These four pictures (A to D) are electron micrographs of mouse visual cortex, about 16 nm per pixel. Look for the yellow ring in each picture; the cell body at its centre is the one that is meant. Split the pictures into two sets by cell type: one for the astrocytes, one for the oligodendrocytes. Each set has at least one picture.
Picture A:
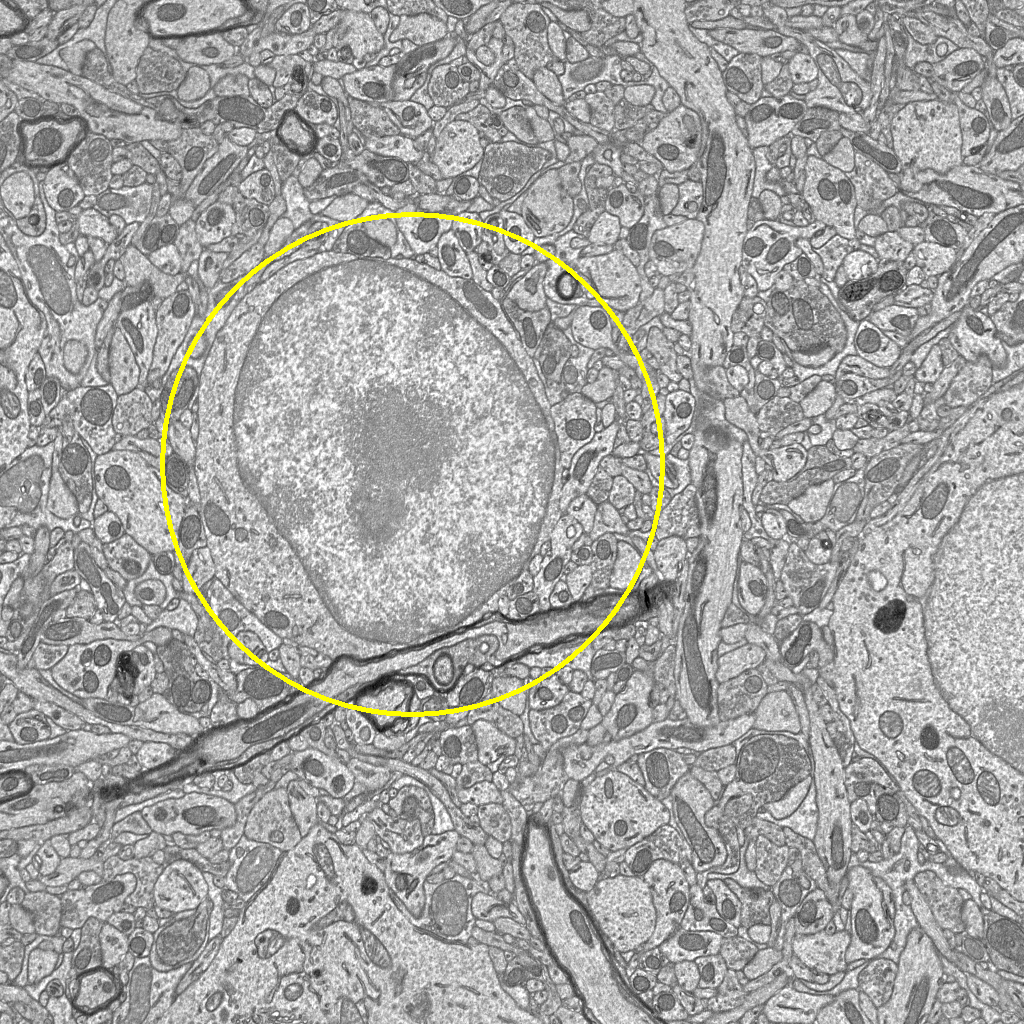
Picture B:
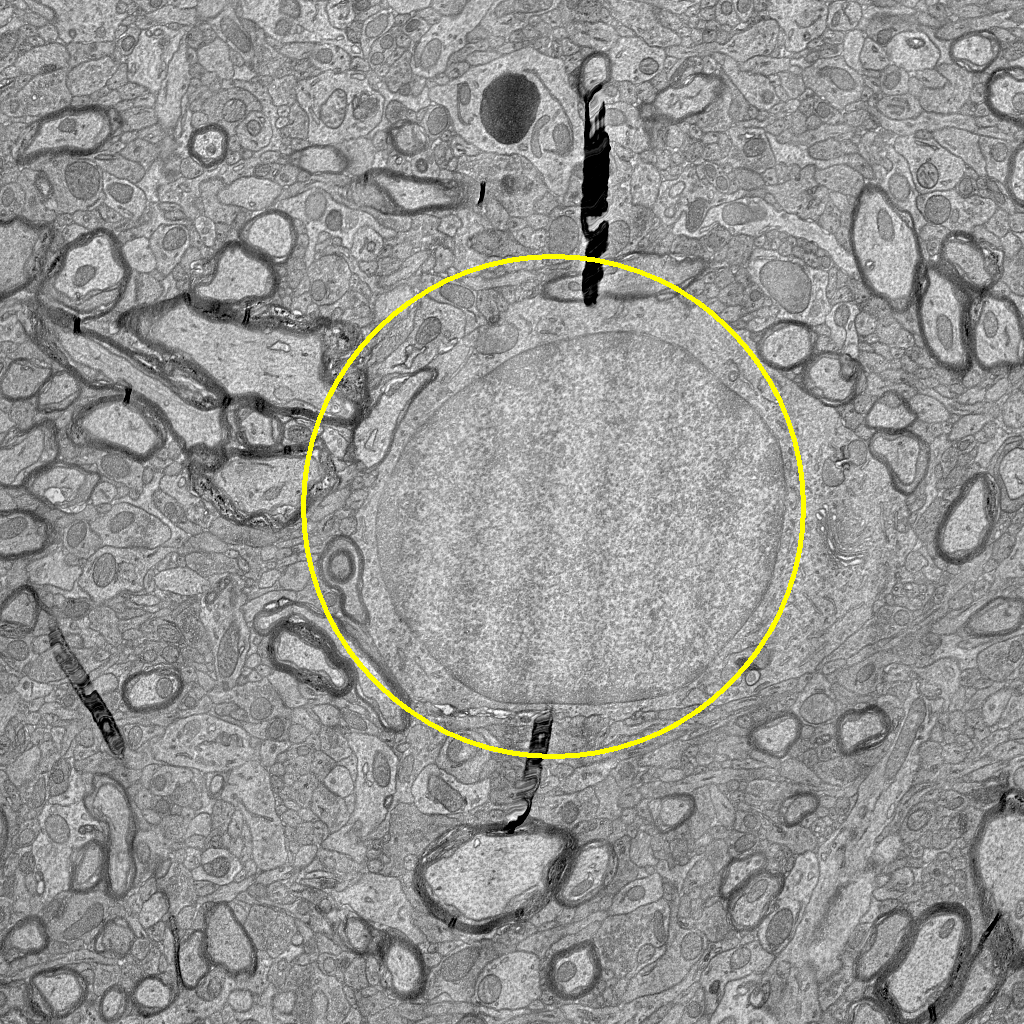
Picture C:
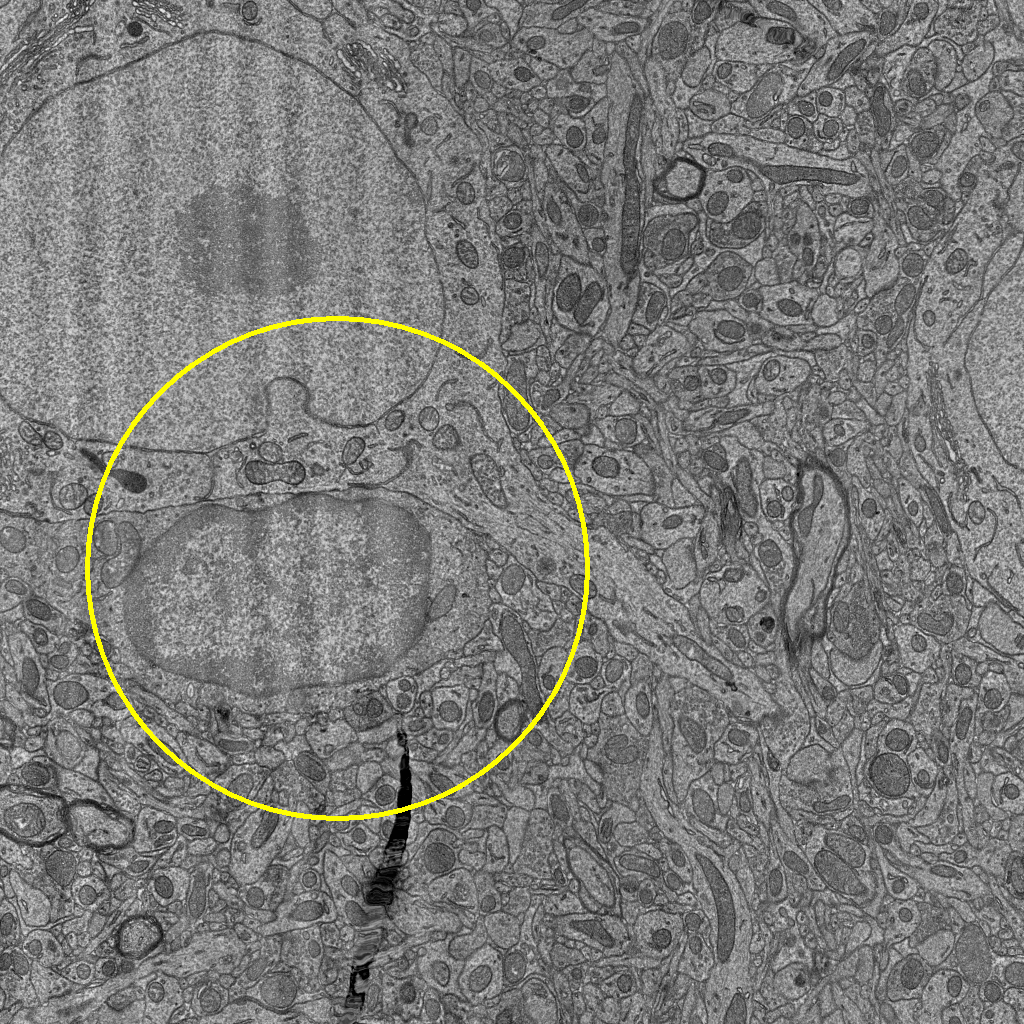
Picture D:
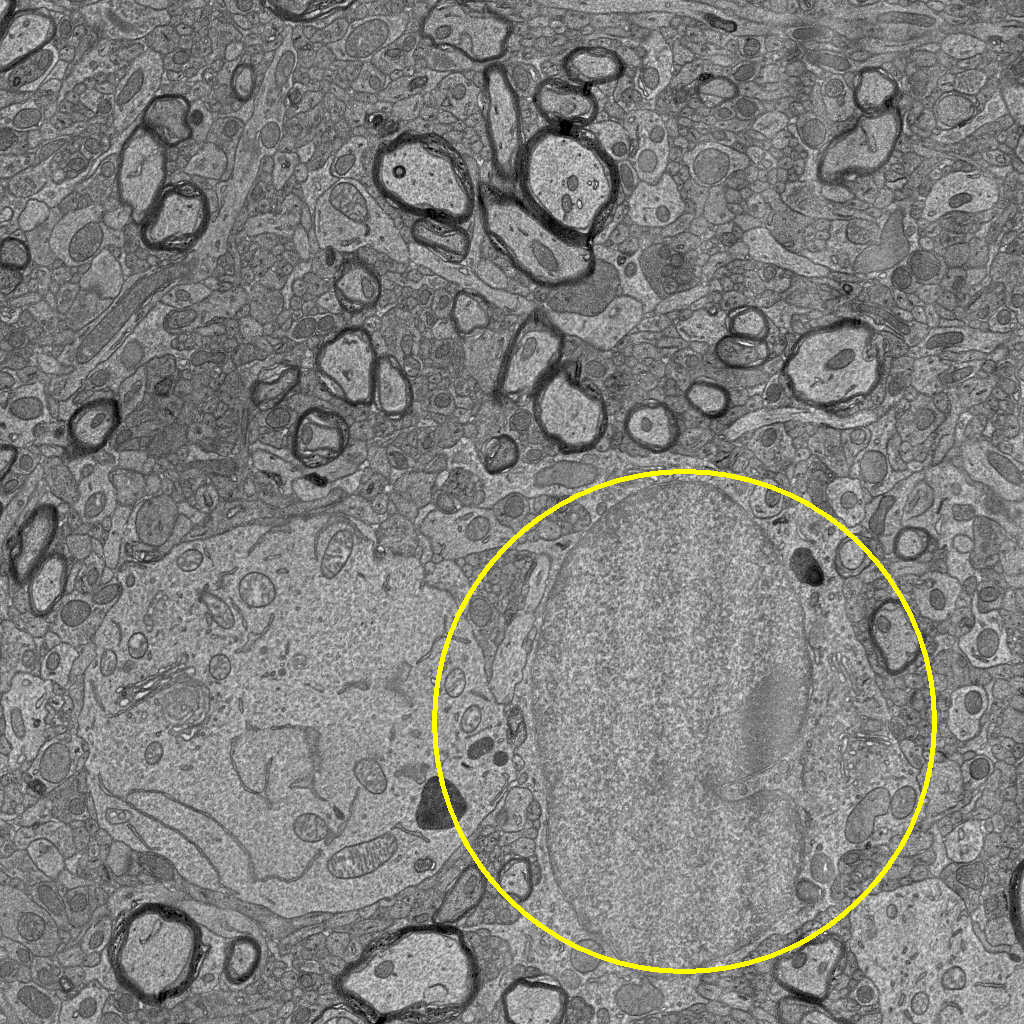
Picture D shows an astrocyte; pictures A, B and C show oligodendrocytes.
